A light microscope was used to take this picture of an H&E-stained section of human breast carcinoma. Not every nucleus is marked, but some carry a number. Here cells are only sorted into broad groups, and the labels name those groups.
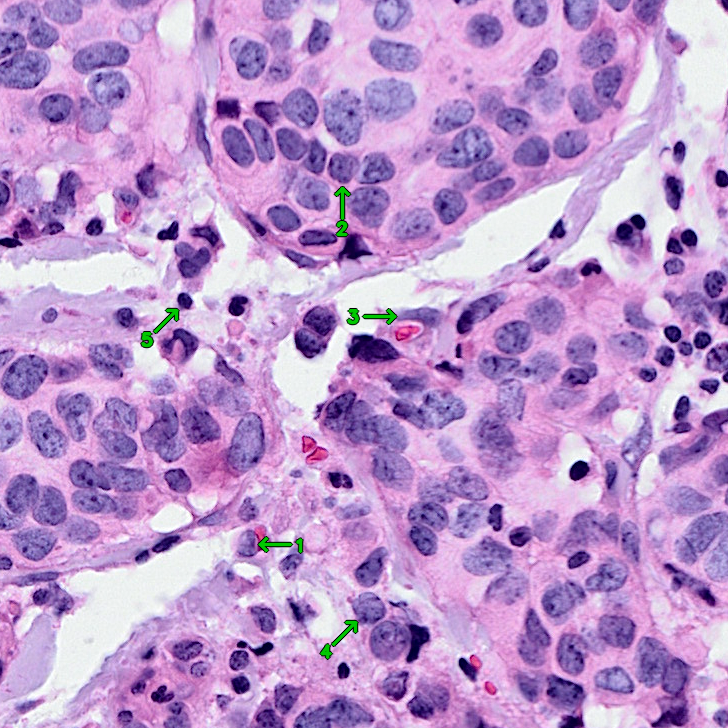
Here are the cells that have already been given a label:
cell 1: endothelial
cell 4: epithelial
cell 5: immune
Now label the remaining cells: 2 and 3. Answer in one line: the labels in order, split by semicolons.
epithelial; endothelial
